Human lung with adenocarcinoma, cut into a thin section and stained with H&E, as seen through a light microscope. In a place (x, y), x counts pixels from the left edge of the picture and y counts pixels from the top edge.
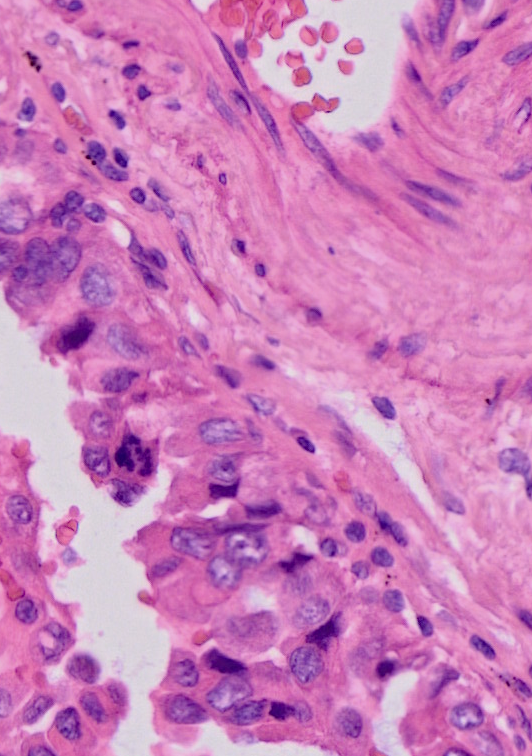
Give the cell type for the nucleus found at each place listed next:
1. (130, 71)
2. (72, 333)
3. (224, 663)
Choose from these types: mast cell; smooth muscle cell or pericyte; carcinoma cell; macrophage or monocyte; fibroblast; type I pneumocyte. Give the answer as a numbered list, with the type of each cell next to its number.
1. smooth muscle cell or pericyte
2. carcinoma cell
3. carcinoma cell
